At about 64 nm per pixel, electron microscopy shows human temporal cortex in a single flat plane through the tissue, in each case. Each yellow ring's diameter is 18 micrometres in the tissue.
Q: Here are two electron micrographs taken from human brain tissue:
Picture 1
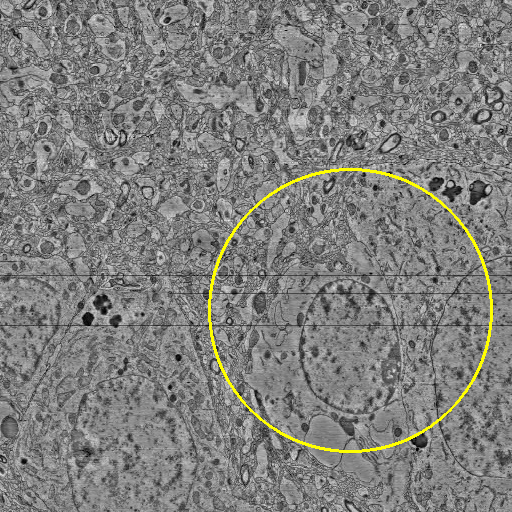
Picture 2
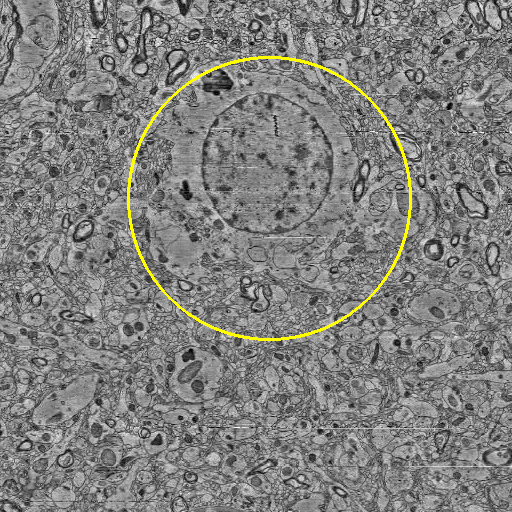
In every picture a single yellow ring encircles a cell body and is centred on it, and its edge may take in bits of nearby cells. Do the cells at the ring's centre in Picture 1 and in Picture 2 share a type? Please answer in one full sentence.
Yes, the cells at the ring's centre in Picture 1 and Picture 2 share a type.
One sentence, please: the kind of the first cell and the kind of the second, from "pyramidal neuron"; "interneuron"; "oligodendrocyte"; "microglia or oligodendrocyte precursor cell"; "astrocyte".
The first and the second cell are each an astrocyte.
